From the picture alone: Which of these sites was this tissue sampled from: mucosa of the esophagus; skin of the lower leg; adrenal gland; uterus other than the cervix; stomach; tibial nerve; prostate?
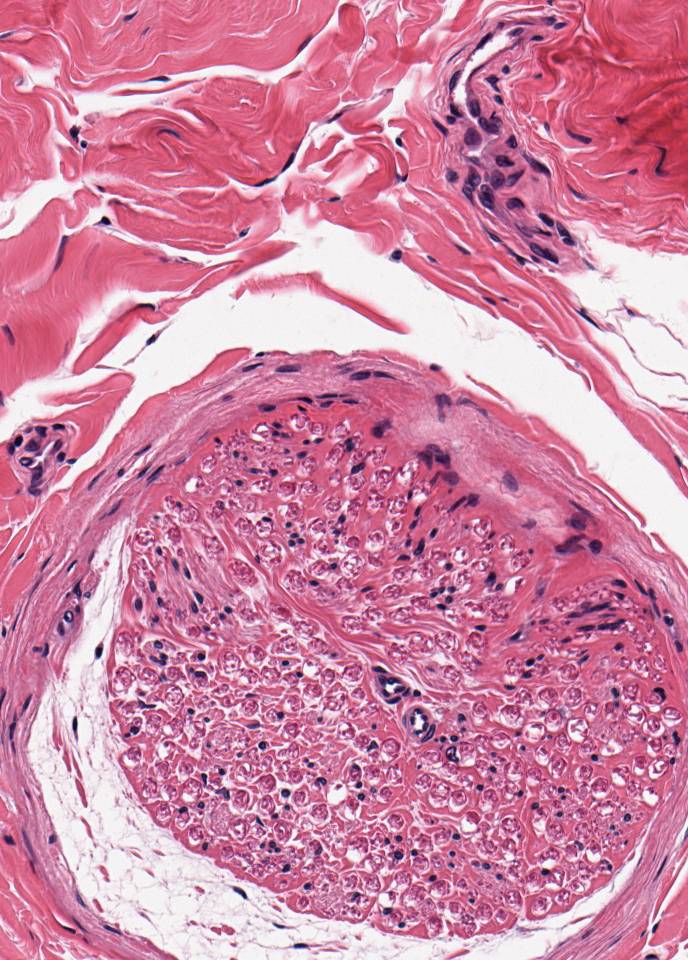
tibial nerve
